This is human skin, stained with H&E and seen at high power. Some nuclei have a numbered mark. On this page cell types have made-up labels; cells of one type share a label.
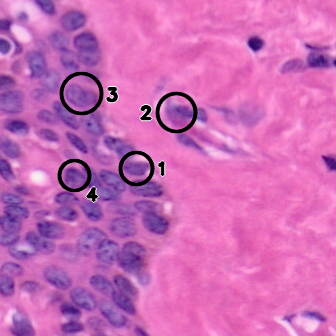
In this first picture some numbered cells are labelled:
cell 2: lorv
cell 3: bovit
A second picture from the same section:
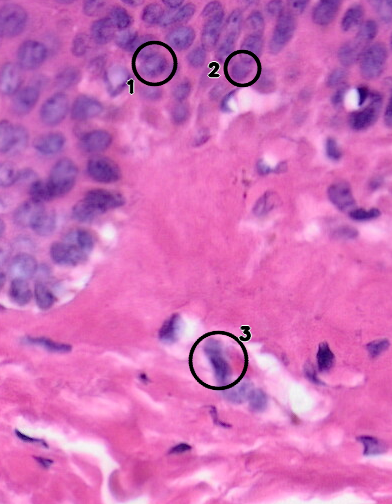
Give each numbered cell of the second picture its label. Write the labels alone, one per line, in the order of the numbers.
bovit
bovit
lorv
